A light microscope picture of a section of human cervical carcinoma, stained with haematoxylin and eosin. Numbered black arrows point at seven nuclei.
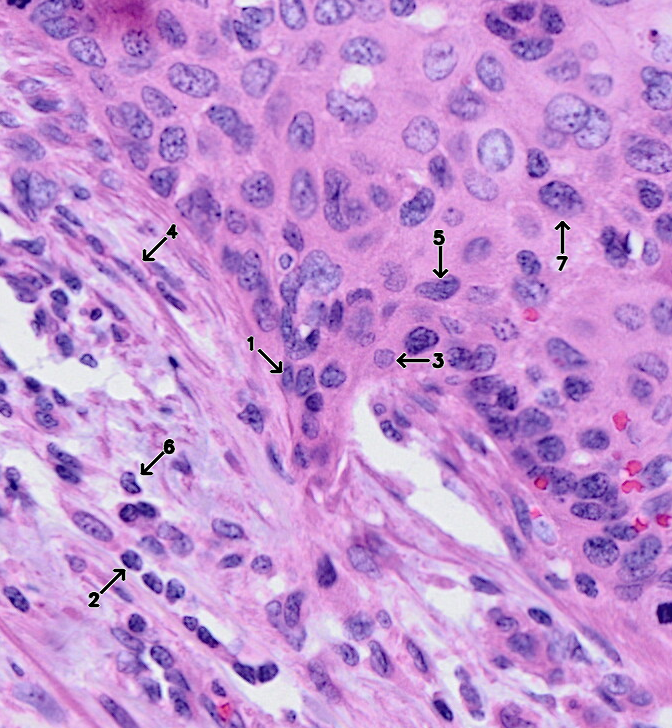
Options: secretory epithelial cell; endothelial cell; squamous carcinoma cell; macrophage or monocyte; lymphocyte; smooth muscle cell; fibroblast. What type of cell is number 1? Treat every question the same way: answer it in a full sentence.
Denoted by the label 1 in the section is a squamous carcinoma cell.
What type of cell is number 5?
The one numbered 5 among the marked cells is a squamous carcinoma cell.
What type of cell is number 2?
The cell that goes by number 2 is a lymphocyte.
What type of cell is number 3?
The marked cell with the number 3 is recognised as a squamous carcinoma cell.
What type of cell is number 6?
In this section, the cell tagged 6 is a lymphocyte.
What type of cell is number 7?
The correct answer for cell 7 is a squamous carcinoma cell.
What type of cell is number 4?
The cell bearing label 4 corresponds to a fibroblast.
